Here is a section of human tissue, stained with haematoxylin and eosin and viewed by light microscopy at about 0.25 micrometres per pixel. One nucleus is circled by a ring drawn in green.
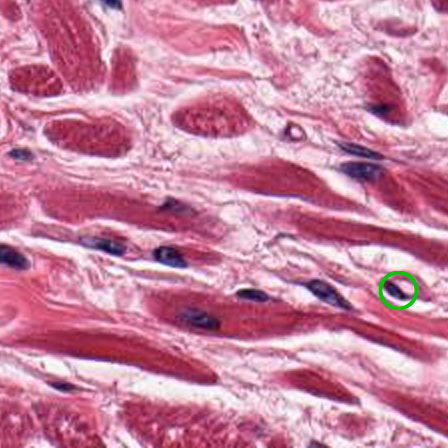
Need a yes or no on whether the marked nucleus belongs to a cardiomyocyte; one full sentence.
No, the marked nucleus is to be assigned to a supporting cell, not to a cardiomyocyte.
